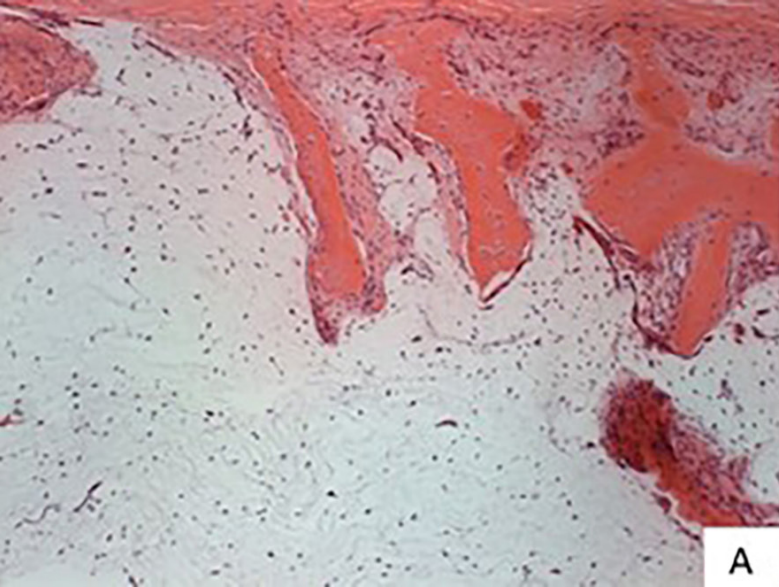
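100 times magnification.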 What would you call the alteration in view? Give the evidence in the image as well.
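A large pale, loose, sparsely cellular matrix fills much of the field. Small scattered nuclei lie far apart in the pale matrix. The pale tissue extends between pink bony bands. So: myxomatous proliferation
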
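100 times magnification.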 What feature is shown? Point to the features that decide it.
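Bone trabeculae. Dense, homogeneous pink bands run downward from the top of the field. The pink bands are separated by pale loose tissue.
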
